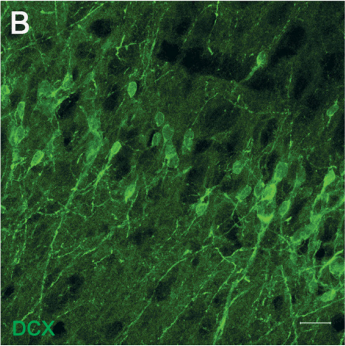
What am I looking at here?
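The bodies lie close together in loose rows. Between them are dark, unlabelled round profiles, probably other cells that do not take up the green label. Fine green threads weave through the background neuropil.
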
